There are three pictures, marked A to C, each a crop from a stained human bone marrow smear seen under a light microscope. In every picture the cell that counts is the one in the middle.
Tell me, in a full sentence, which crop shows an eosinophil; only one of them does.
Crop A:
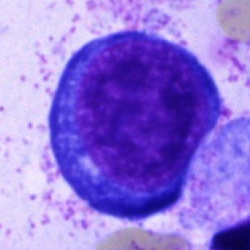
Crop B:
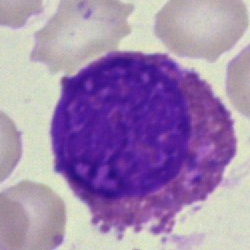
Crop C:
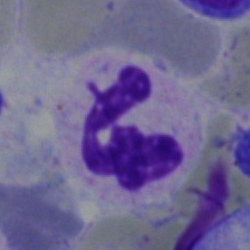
Here the crop that shows an eosinophil is crop B.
